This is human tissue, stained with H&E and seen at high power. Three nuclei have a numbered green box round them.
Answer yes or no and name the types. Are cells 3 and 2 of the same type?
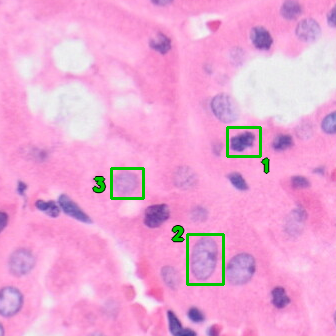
Yes, both are proximal tubule cells.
